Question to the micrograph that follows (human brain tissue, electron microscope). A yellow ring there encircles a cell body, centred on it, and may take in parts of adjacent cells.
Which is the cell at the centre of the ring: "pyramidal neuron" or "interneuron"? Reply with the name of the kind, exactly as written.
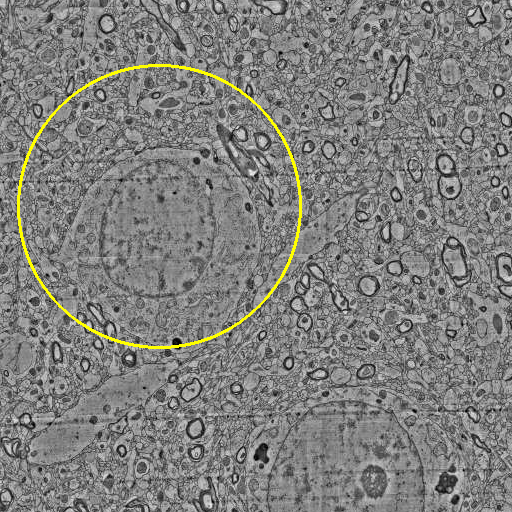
interneuron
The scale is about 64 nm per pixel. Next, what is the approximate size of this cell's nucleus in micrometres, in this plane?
In this plane, roughly 8 micrometres across.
